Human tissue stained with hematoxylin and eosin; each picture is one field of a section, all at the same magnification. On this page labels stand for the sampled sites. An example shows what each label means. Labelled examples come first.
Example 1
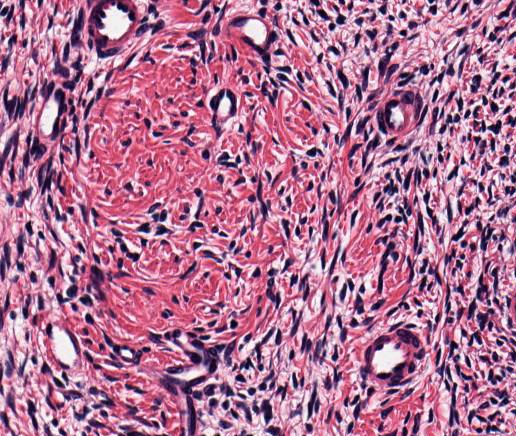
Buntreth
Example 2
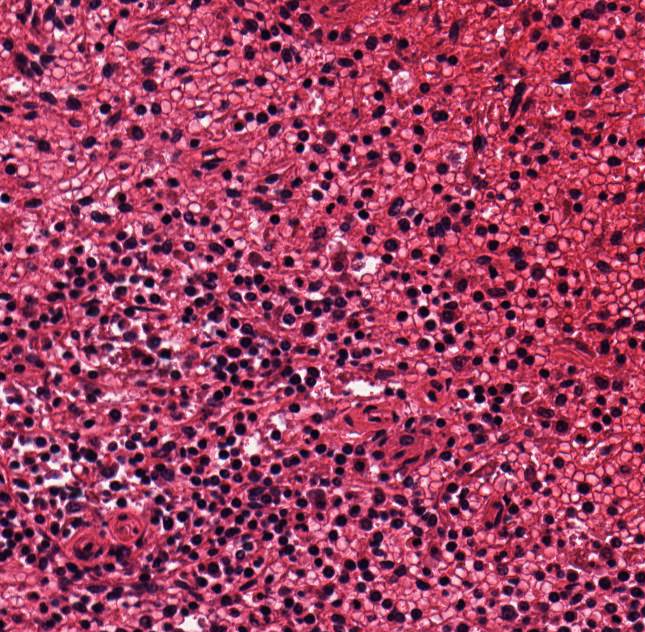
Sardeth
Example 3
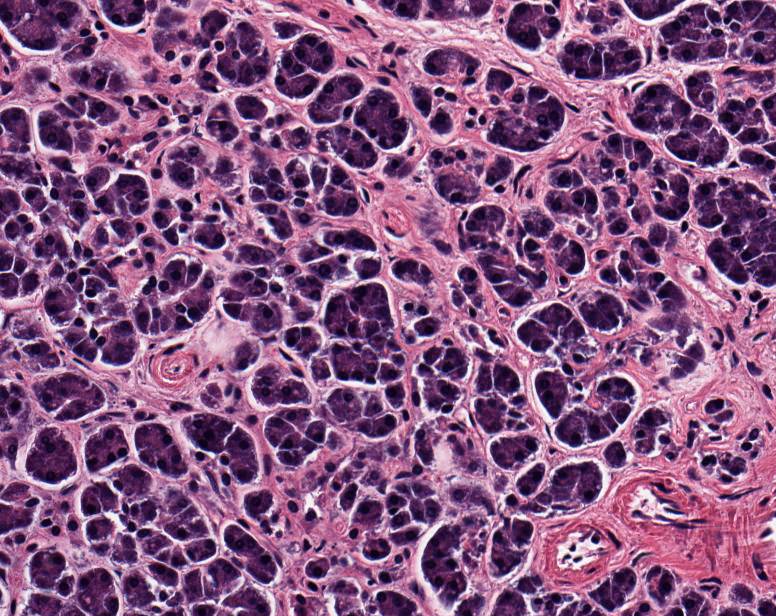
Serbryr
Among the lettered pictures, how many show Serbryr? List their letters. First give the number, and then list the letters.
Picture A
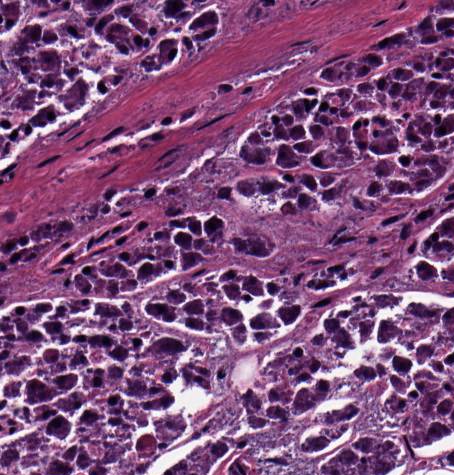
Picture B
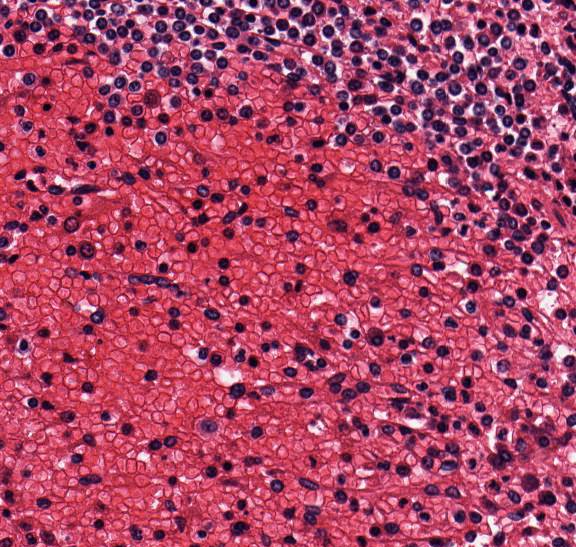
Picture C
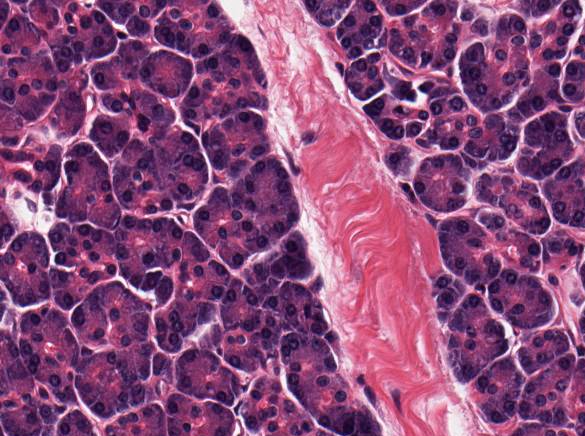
Count: 2 (A, C)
